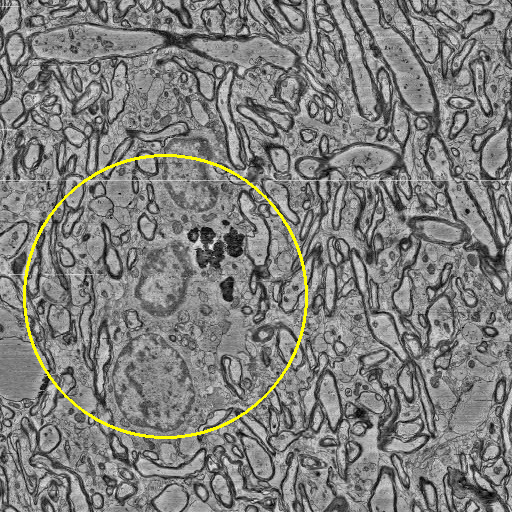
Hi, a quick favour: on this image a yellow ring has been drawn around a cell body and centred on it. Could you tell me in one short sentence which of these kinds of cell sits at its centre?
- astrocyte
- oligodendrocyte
The ring is centred on an oligodendrocyte.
